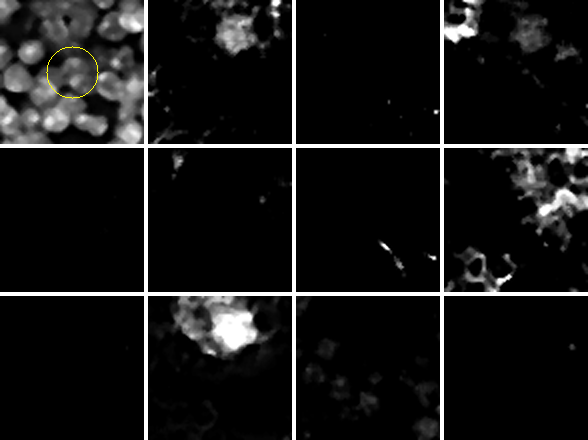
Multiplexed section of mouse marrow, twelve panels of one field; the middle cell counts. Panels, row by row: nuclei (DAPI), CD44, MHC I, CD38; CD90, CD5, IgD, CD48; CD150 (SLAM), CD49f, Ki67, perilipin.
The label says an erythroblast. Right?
Right.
